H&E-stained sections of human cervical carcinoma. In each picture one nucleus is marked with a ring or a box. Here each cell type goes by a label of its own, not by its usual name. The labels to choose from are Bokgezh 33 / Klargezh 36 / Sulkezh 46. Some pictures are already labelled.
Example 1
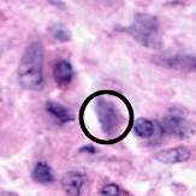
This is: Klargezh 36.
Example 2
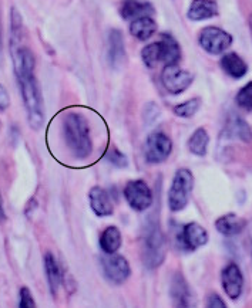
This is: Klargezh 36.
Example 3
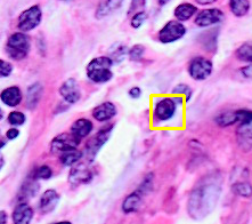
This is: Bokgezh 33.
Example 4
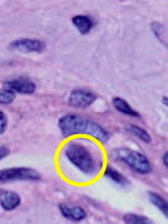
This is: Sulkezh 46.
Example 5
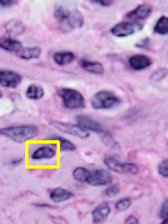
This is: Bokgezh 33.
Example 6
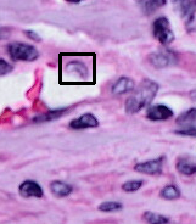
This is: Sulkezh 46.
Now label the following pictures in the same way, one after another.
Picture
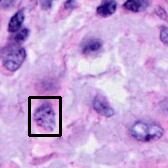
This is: Klargezh 36.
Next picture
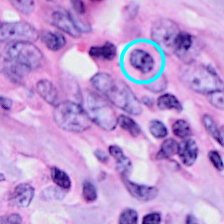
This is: Bokgezh 33.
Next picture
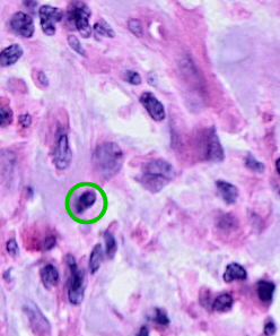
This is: Bokgezh 33.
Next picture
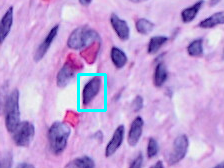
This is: Sulkezh 46.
